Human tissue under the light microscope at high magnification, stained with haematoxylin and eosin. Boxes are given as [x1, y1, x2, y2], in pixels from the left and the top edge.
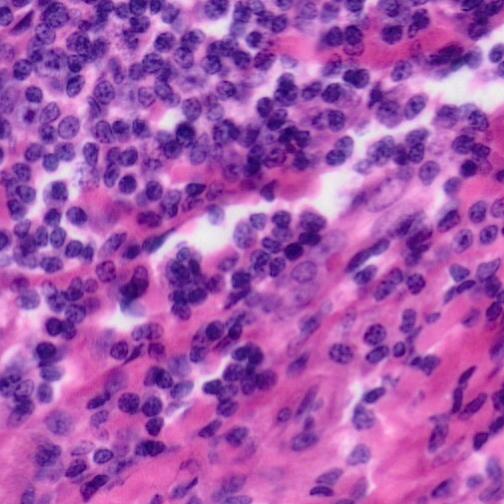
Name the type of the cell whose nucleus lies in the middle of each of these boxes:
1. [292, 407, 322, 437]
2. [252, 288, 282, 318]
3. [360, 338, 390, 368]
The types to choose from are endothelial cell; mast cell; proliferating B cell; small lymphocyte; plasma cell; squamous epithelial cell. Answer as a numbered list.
1. endothelial cell
2. endothelial cell
3. plasma cell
